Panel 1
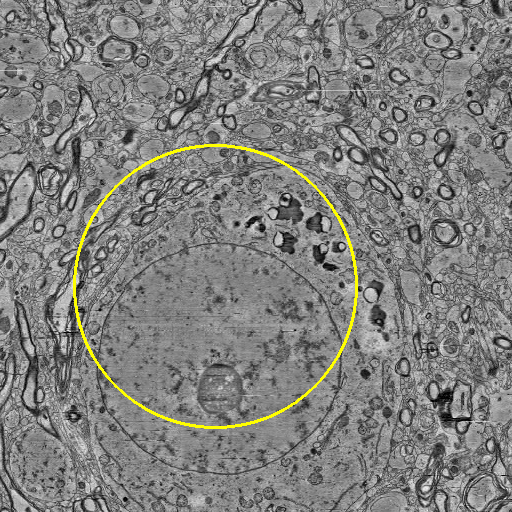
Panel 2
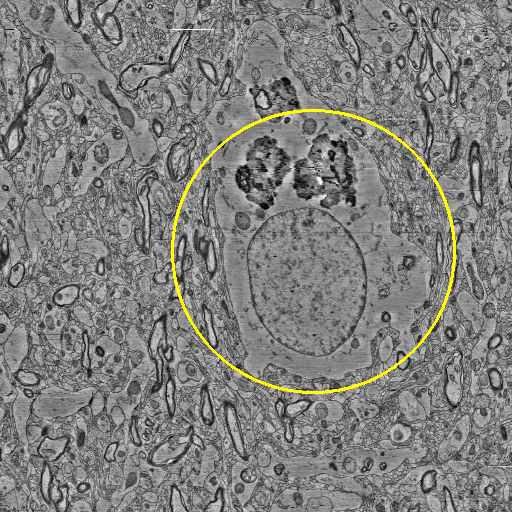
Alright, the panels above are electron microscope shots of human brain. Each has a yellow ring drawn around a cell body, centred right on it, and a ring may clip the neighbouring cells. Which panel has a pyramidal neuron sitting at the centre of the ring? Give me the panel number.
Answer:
1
